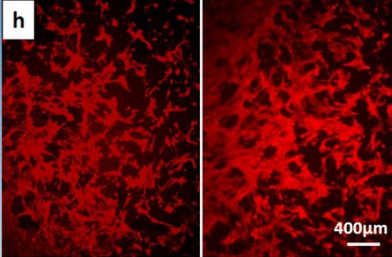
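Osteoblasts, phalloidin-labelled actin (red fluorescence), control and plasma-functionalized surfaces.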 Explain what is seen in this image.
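In both fields, the cells are spread out and drawn into long, branching shapes whose processes touch one another, making an irregular network with dark spaces between its strands. In the right field, the cells lie more densely and overlap, forming a brighter, more continuous red sheet toward one side.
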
